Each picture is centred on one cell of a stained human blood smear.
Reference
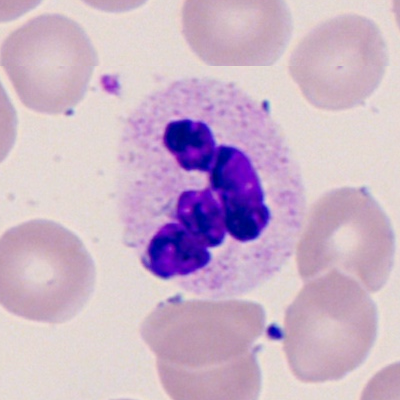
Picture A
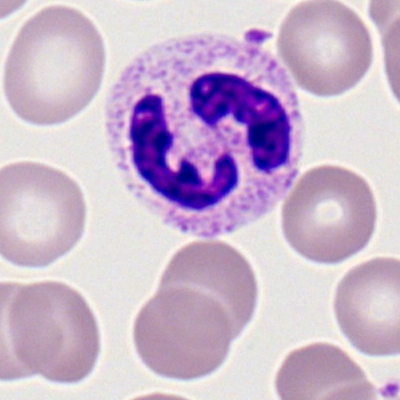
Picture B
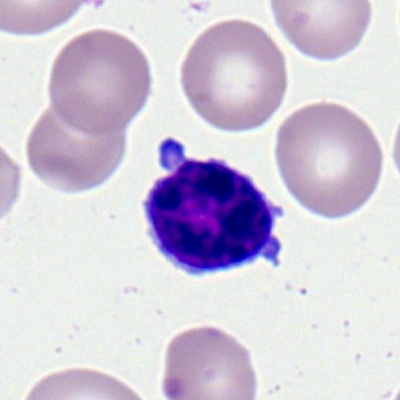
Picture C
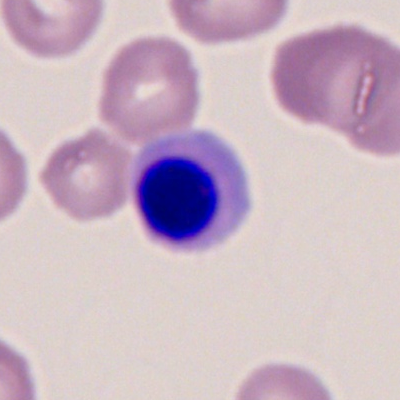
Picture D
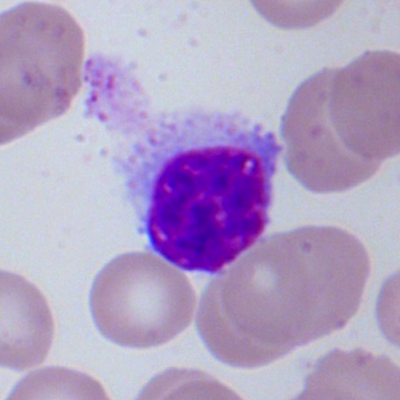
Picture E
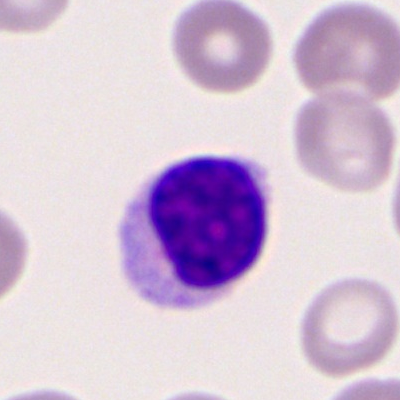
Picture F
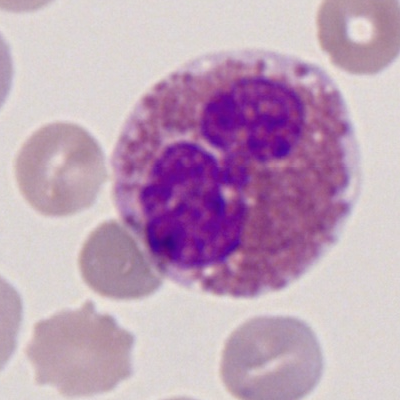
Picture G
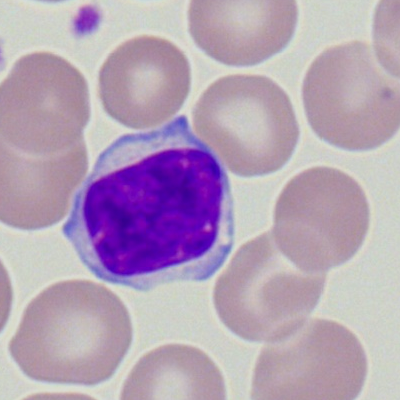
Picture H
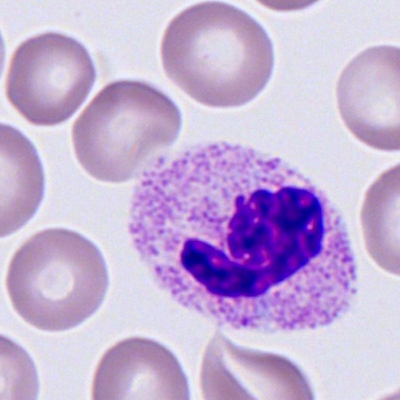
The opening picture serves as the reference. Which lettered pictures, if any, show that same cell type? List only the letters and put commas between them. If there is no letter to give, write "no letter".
A, H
